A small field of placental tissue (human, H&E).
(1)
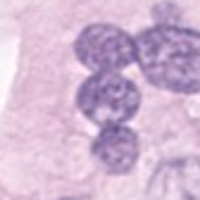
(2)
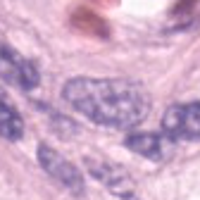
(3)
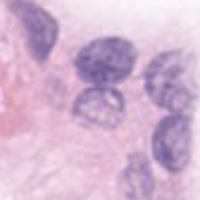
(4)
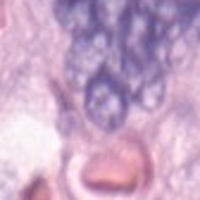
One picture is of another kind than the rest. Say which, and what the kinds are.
Picture 4 shows a syncytial knot; the rest show cytotrophoblasts.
